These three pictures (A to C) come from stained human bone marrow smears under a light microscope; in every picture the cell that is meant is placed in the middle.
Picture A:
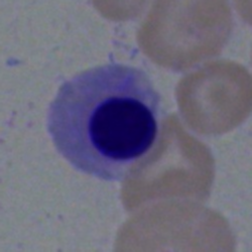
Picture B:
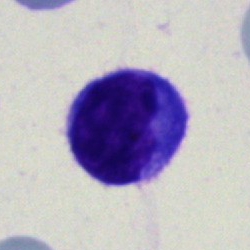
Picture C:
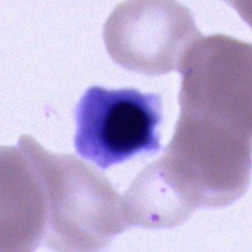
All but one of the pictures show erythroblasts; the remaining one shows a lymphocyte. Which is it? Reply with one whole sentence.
Picture B shows the lymphocyte.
